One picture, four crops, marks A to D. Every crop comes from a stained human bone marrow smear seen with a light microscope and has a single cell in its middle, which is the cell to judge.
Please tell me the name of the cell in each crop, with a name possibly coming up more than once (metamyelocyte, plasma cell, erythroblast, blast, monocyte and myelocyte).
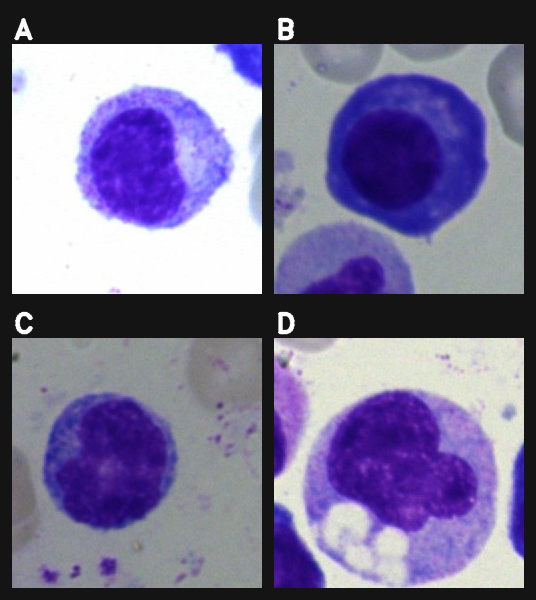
A: metamyelocyte
B: plasma cell
C: monocyte
D: monocyte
